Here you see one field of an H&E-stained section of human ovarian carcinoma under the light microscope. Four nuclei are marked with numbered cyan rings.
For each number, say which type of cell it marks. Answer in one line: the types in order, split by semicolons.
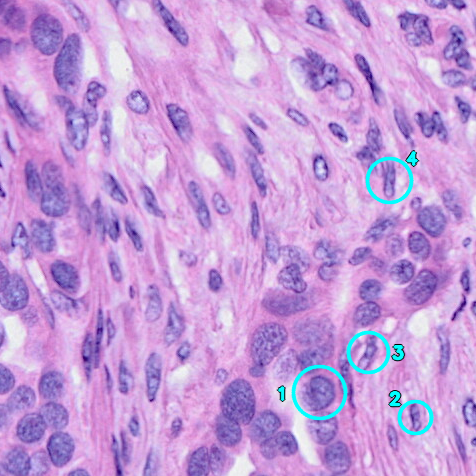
carcinoma cell; fibroblast; fibroblast; fibroblast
